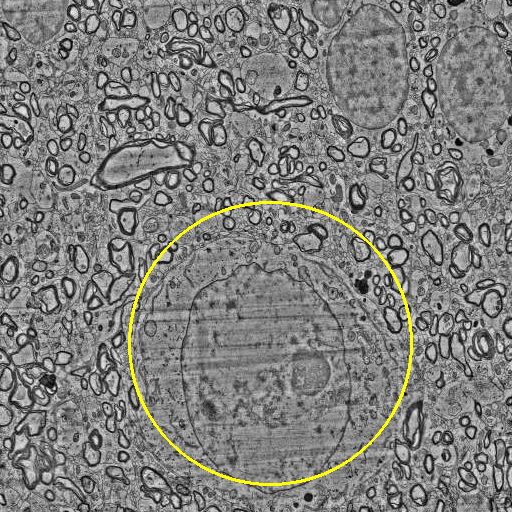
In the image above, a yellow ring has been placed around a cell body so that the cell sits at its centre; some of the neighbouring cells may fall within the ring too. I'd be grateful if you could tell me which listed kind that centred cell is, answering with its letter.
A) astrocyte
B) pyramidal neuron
B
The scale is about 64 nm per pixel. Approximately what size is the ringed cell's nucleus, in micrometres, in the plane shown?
In this plane, the nucleus of the cell at the centre of the ring measures about 15 by 11 micrometres.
